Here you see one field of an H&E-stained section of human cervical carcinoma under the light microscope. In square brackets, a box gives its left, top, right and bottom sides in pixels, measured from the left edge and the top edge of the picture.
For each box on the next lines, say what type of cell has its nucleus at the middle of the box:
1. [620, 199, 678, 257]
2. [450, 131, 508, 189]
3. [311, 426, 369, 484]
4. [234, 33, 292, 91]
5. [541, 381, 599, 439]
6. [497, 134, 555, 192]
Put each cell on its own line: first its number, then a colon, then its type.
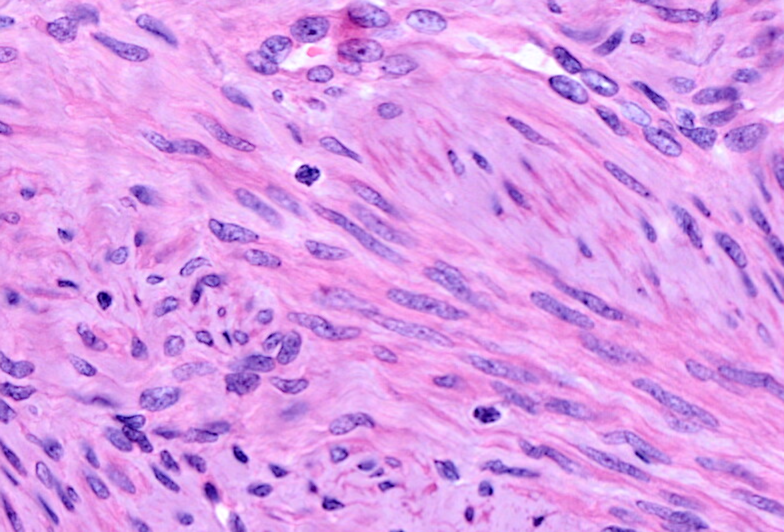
1: smooth muscle cell
2: fibroblast
3: smooth muscle cell
4: endothelial cell
5: smooth muscle cell
6: smooth muscle cell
